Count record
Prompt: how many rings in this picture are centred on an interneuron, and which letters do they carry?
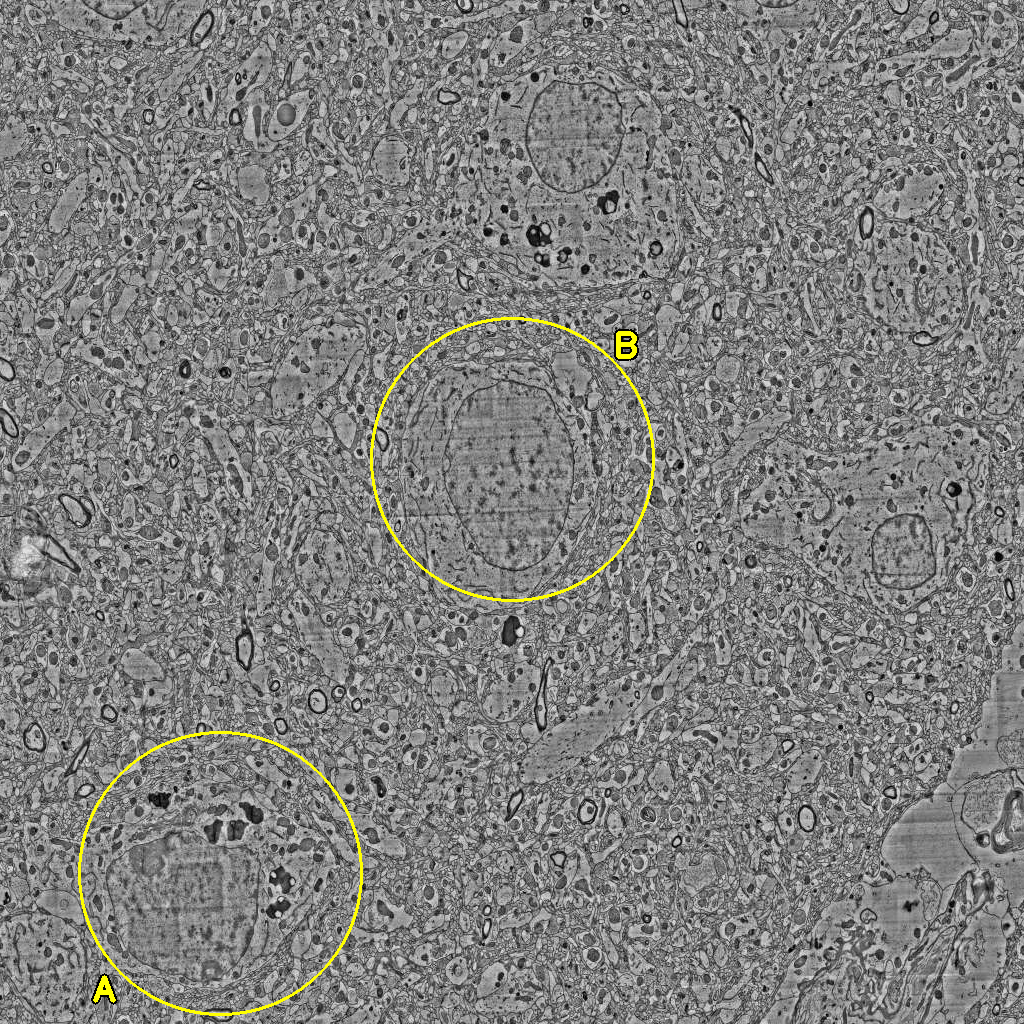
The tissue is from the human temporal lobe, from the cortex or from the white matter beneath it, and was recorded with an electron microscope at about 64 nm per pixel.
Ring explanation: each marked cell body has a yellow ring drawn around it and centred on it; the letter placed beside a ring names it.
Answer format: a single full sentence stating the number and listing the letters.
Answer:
Of the lettered yellow rings, just one is centred on an interneuron, and its letter is A.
